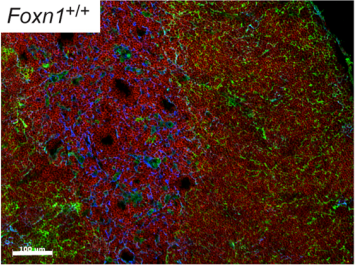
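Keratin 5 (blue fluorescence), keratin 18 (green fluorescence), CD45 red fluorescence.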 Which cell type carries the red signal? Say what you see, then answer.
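Red fluorescence fills most of the tissue as densely packed small round profiles. The red cells lie in the spaces between the blue and green meshwork. The answer: thymocytes.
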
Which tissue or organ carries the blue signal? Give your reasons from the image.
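Blue fluorescence forms a network concentrated in the central region. The blue network surrounds small dark spaces in the middle of the section. On this evidence: medullary epithelium.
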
